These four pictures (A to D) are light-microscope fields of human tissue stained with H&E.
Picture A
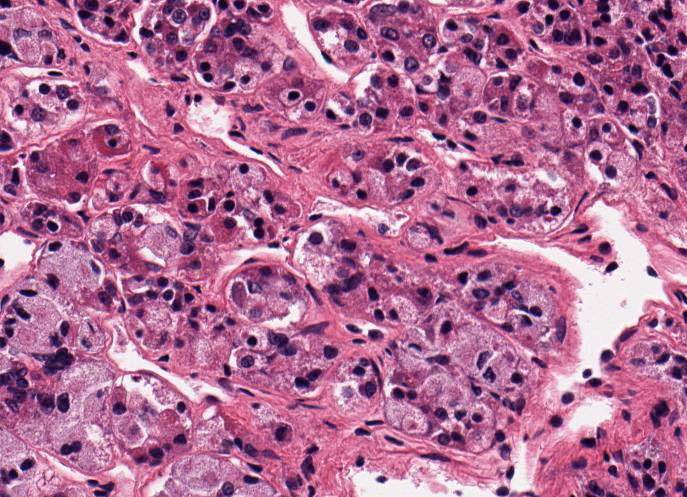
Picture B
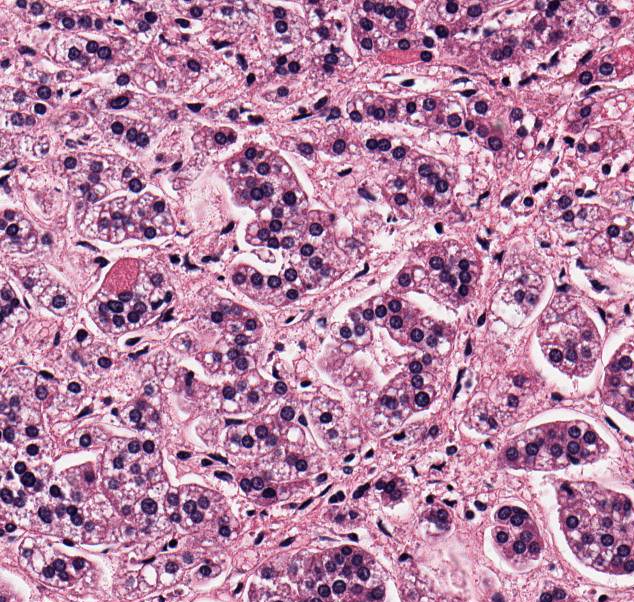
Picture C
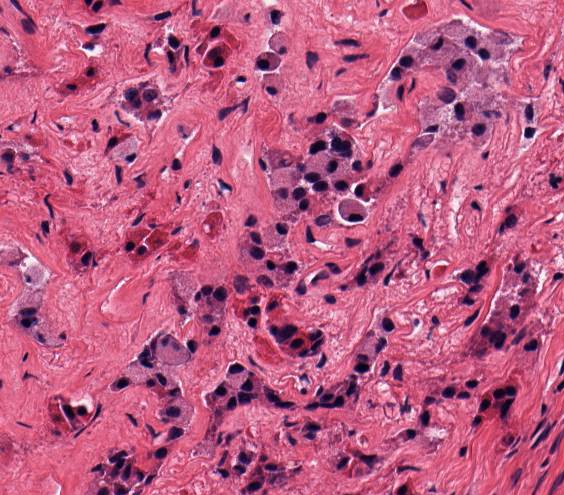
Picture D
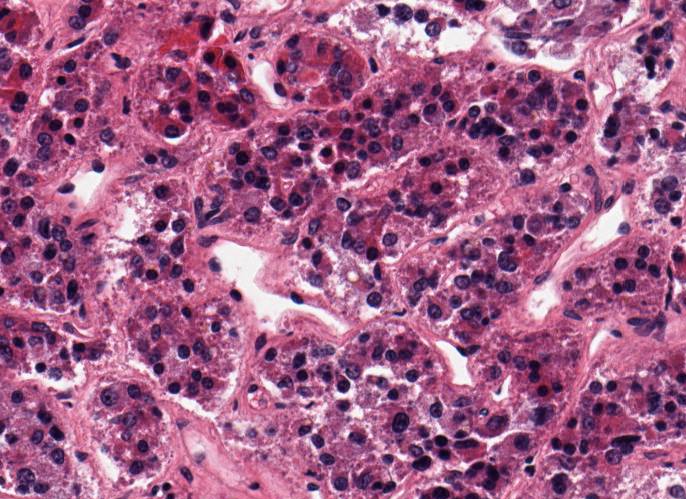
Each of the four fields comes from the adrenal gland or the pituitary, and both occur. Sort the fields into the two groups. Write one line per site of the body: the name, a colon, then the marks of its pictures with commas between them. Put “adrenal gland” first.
adrenal gland: B
pituitary: A, C, D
